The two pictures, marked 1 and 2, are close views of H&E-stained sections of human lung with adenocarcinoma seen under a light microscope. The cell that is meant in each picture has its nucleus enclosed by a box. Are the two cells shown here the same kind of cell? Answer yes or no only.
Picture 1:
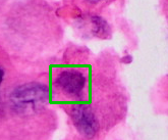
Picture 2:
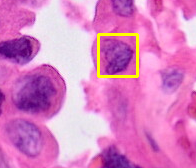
yes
